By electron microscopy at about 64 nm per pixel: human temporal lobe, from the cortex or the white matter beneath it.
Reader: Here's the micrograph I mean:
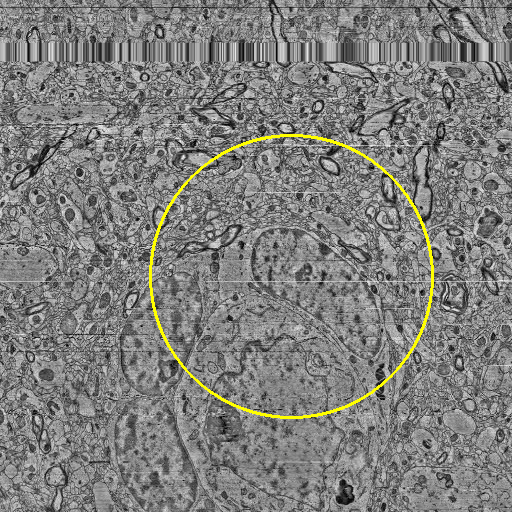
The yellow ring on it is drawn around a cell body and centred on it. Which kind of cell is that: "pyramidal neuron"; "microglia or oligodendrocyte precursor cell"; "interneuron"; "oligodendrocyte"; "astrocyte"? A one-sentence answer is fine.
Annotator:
The ring is centred on a microglial cell or oligodendrocyte precursor cell.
